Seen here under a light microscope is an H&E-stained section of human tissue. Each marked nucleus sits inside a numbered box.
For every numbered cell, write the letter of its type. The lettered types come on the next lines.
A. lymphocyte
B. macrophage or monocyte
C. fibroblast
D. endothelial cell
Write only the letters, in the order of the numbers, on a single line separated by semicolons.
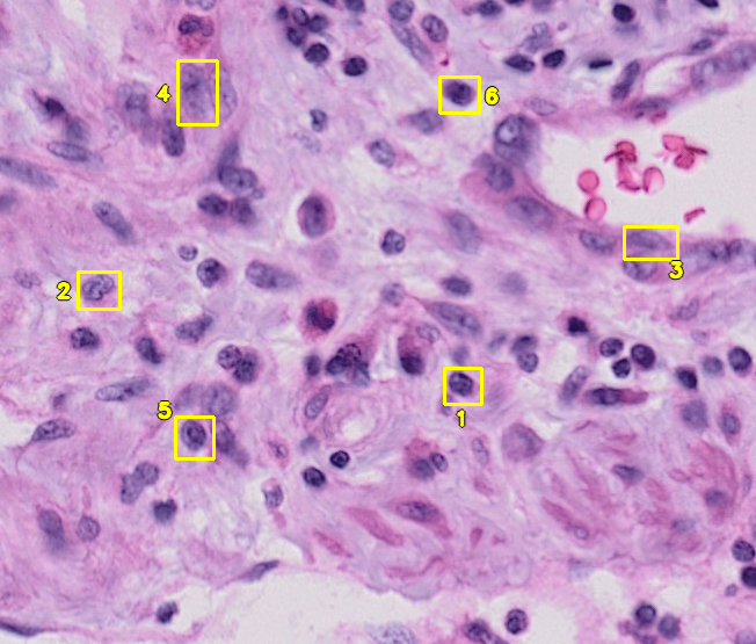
A; B; D; D; A; A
